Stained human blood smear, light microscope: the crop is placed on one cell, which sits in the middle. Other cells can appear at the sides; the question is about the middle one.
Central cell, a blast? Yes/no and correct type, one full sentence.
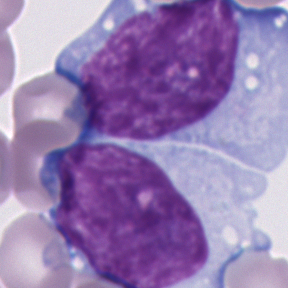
Yes, the cell in the exact middle is a blast.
